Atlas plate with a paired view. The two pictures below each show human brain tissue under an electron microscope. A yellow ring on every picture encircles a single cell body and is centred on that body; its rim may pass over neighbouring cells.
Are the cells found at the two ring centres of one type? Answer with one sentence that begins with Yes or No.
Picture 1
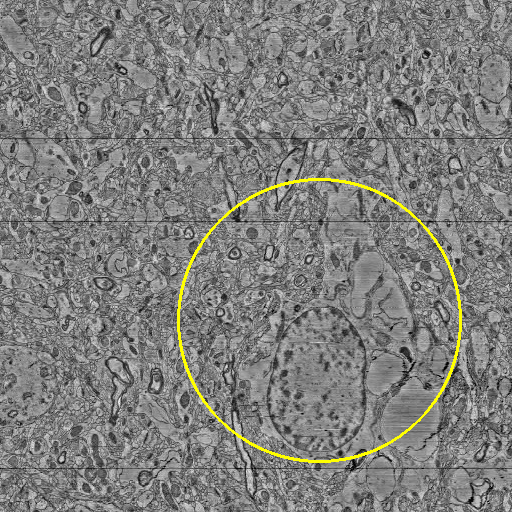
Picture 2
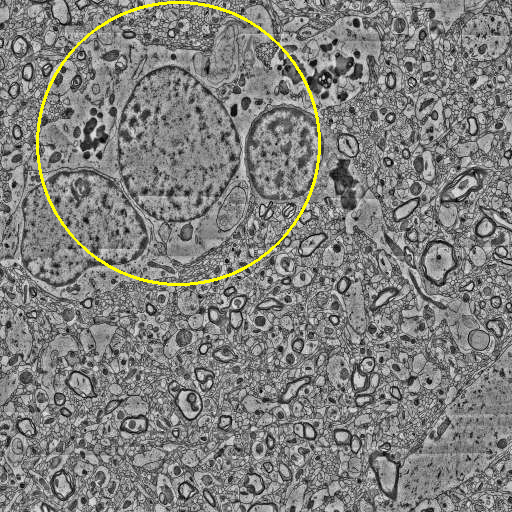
Yes, the two cells lying at the centres of the rings share a single type.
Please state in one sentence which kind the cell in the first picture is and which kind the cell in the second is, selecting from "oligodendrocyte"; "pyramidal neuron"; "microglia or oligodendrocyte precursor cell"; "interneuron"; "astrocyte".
The cell in the first picture is an astrocyte, and so is the one in the second.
